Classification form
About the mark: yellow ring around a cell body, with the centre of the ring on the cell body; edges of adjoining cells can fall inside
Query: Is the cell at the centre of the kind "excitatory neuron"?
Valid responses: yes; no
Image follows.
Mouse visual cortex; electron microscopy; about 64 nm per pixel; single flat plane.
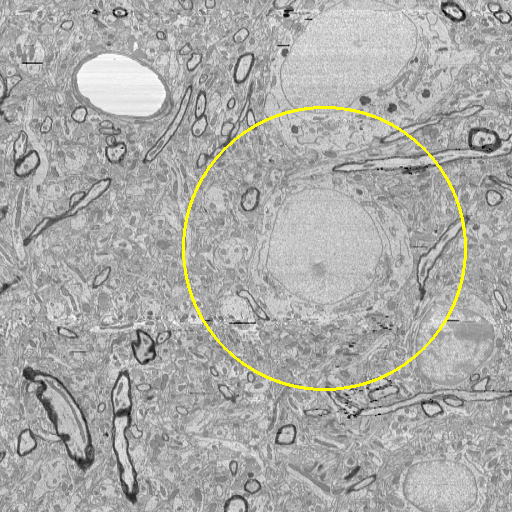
yes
